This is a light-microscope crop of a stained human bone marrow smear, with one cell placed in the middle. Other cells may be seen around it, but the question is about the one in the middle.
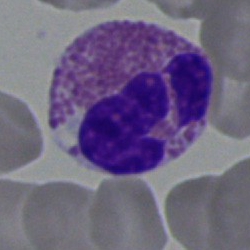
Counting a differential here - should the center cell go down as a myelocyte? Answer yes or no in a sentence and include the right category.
No, the cell at the centre is identified as an eosinophil, not as a myelocyte.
